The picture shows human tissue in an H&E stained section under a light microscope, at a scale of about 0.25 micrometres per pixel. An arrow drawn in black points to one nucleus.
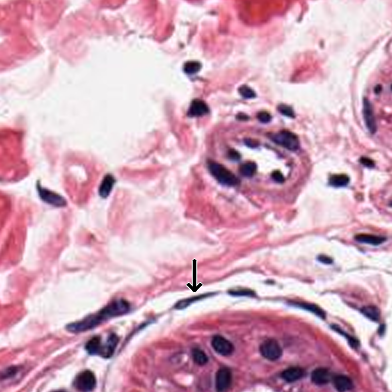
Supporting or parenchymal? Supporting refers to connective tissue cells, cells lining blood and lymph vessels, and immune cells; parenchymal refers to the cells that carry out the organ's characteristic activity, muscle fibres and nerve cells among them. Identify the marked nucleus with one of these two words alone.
supporting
